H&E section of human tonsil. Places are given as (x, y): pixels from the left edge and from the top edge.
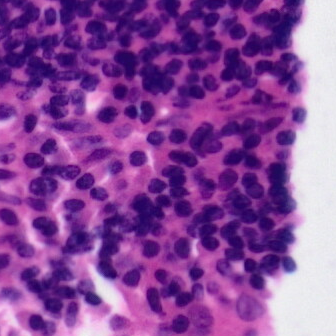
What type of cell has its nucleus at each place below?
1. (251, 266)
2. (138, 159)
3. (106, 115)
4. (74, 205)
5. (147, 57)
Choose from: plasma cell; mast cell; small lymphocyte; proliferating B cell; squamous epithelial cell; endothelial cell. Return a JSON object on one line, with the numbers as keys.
{"1": "small lymphocyte", "2": "plasma cell", "3": "plasma cell", "4": "plasma cell", "5": "small lymphocyte"}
